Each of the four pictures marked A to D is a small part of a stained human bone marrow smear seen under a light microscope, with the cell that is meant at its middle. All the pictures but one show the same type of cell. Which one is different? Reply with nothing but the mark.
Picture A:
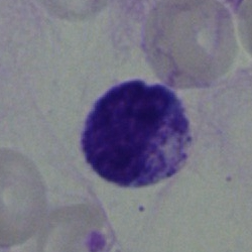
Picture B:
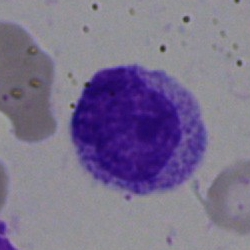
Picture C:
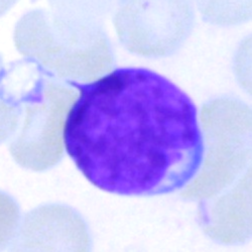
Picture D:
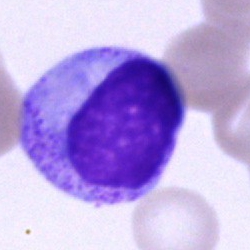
C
